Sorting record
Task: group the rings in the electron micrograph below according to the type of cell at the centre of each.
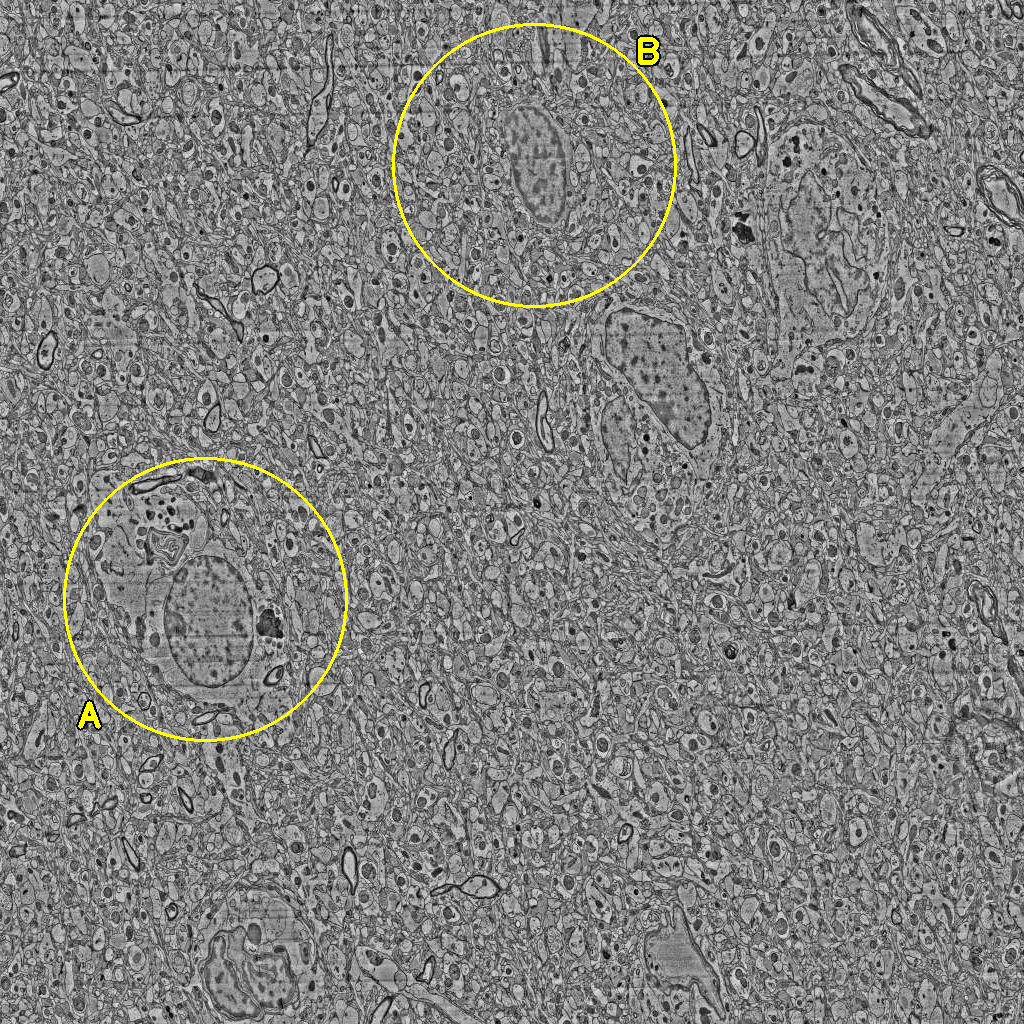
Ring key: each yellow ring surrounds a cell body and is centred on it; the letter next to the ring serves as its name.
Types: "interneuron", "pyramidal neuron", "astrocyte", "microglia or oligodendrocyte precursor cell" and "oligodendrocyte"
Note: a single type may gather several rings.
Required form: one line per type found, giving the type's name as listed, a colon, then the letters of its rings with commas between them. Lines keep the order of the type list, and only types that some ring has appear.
astrocyte: A
oligodendrocyte: B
